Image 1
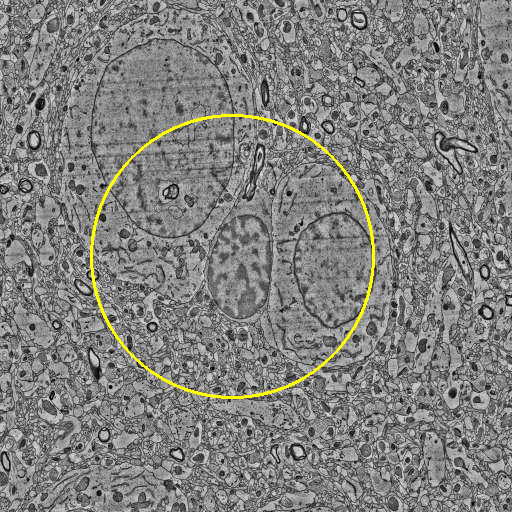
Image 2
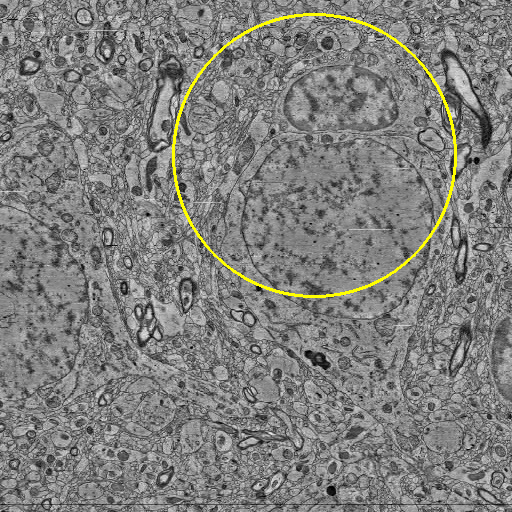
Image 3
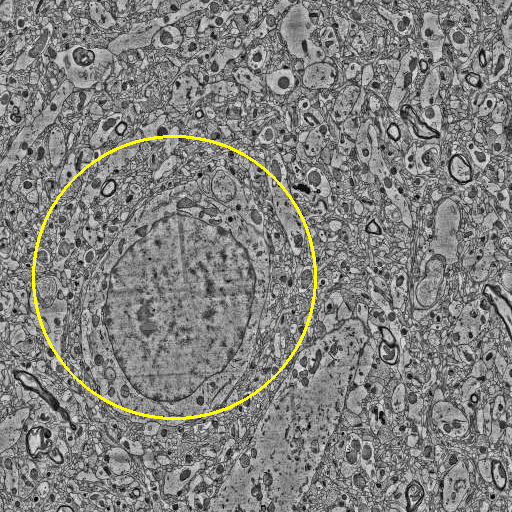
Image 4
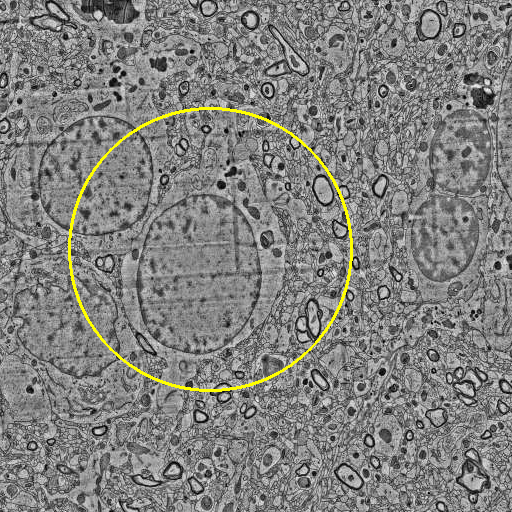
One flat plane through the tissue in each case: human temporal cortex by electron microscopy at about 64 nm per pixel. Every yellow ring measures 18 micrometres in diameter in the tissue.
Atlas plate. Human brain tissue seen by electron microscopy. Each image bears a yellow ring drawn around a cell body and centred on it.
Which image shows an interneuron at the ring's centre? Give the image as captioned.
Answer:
Image 3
